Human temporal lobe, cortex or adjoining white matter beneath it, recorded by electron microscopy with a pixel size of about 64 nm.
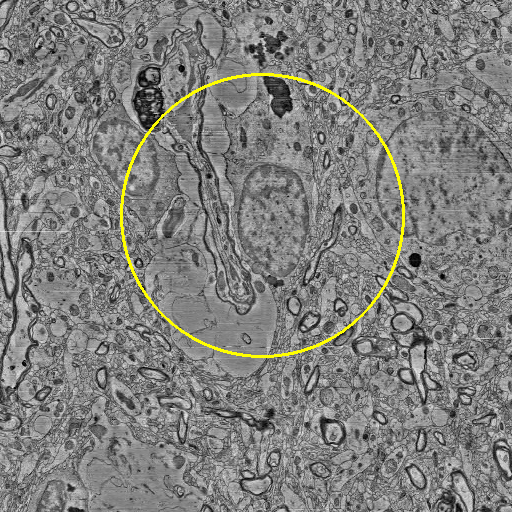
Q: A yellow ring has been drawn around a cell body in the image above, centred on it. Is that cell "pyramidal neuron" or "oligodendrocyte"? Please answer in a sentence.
The ring surrounds the cell body of an oligodendrocyte.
